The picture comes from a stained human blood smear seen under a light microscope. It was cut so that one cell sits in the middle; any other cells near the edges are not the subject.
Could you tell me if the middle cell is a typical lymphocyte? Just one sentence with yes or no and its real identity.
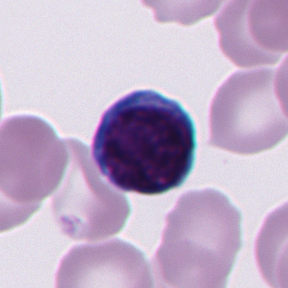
Yes, the middle cell here is a typical lymphocyte.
